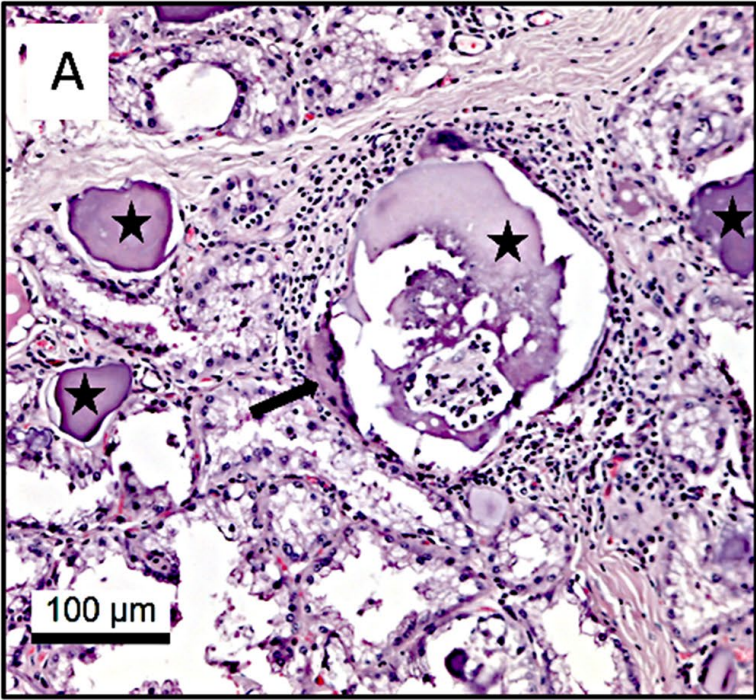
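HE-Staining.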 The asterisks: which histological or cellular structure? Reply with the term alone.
Corpus amylaceum.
